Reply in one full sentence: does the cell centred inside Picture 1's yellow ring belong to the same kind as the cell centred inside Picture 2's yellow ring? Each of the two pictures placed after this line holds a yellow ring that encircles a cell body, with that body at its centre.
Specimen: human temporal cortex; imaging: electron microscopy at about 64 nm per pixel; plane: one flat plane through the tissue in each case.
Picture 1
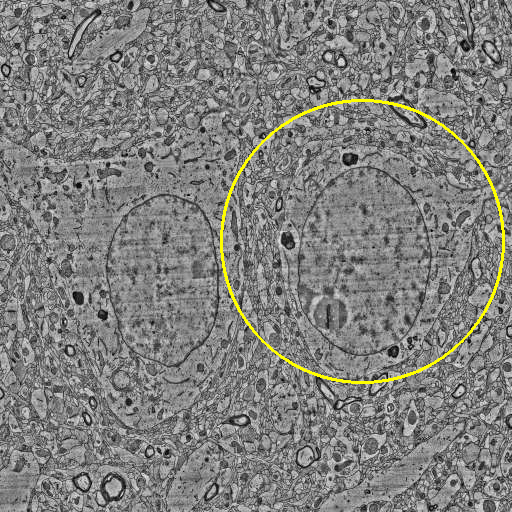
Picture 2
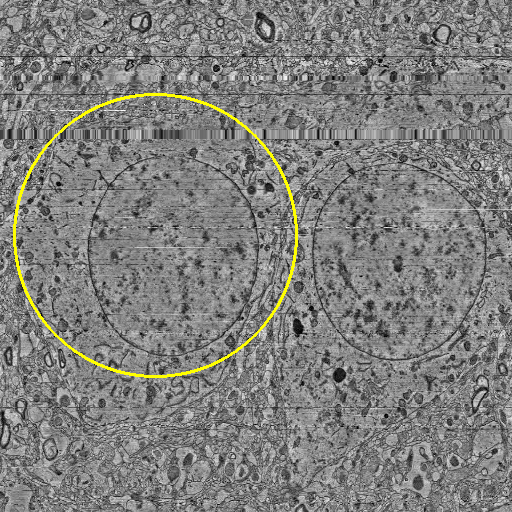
Yes, the ring-centred cells in Picture 1 and Picture 2 are of one and the same kind.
